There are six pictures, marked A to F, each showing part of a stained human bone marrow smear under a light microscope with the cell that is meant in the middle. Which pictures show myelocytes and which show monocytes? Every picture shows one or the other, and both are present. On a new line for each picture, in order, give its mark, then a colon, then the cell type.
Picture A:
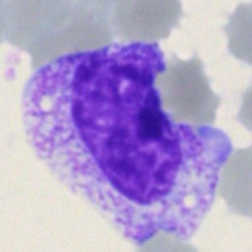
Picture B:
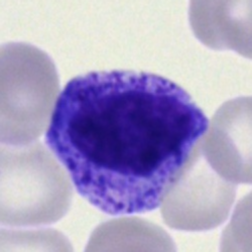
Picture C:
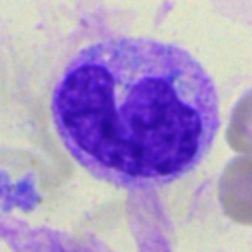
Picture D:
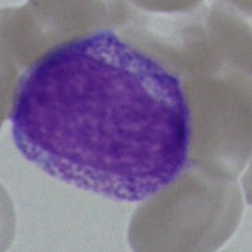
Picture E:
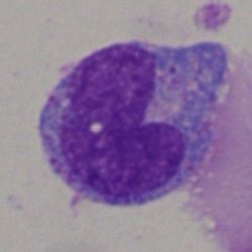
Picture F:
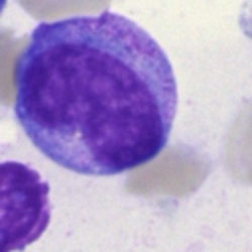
A: myelocyte
B: myelocyte
C: monocyte
D: myelocyte
E: monocyte
F: monocyte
